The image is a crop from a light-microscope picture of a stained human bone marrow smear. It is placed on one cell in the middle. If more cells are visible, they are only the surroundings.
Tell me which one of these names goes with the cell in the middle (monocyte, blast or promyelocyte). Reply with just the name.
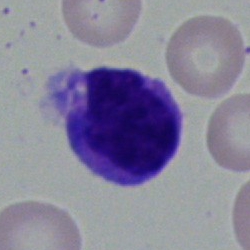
monocyte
